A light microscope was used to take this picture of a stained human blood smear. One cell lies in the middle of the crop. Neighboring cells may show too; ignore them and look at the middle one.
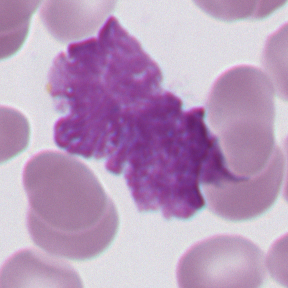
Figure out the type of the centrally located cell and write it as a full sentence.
The middle position in this crop is taken by a smudge cell.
